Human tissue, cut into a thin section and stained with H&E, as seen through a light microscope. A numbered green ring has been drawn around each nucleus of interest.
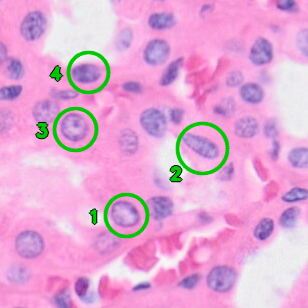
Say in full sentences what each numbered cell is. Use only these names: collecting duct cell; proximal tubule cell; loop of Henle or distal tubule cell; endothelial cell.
Cell 1 is a proximal tubule cell, cell 2 is a collecting duct cell, cell 3 is a proximal tubule cell and cell 4 is a loop of Henle or distal tubule cell.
